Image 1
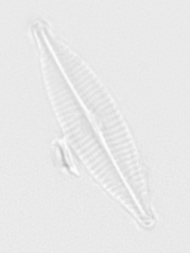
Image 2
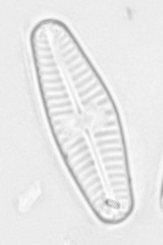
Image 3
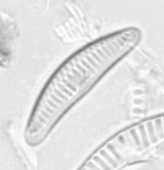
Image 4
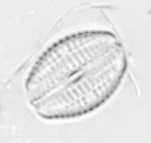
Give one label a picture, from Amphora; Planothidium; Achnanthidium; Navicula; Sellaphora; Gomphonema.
1: Navicula
2: Planothidium
3: Amphora
4: Amphora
